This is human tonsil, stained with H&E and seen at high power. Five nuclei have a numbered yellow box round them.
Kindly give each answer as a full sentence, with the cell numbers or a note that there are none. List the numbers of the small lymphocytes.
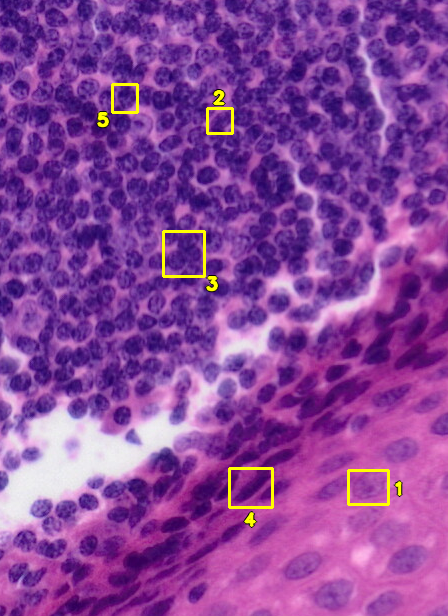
The cells with labels 2, 3 and 5 are small lymphocytes.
